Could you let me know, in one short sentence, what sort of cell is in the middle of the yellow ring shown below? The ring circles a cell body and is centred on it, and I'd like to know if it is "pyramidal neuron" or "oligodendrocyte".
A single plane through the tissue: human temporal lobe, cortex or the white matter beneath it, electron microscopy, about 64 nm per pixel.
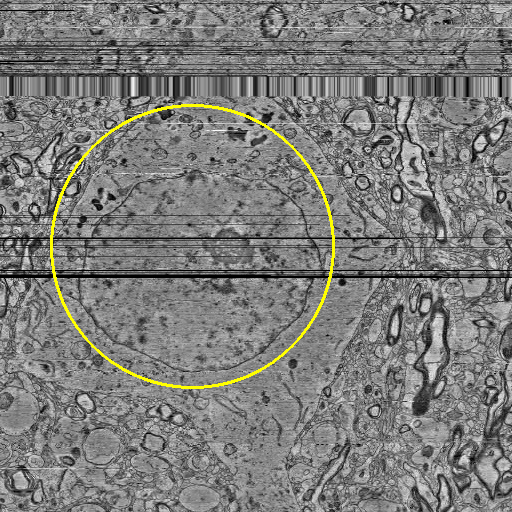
The ring circles the cell body of a pyramidal neuron.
